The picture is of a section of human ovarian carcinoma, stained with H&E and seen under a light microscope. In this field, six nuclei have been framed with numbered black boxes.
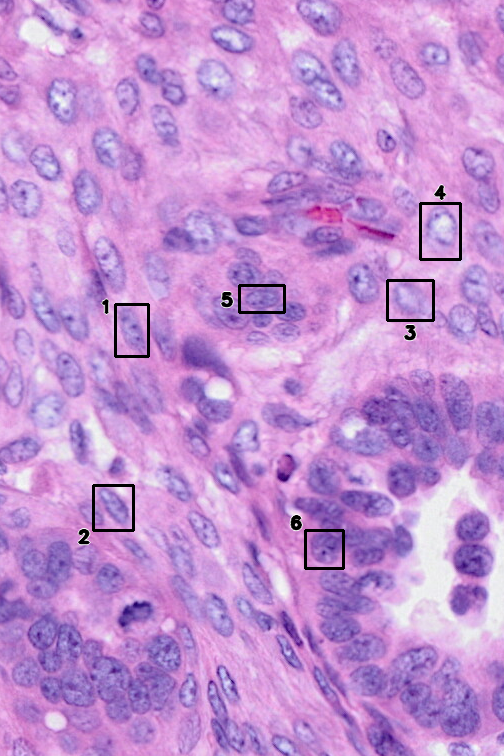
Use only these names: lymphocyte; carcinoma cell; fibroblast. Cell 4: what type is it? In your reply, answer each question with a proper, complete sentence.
Recognised here as a fibroblast is the cell numbered 4.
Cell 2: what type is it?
Regarding cell 2, this one is a fibroblast.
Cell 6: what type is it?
The cell marked with the number 6 is a carcinoma cell.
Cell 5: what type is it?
In the tissue shown, cell 5 is a carcinoma cell.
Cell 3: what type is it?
The cell tagged with 3 in this tissue section is a fibroblast.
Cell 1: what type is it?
The one labeled 1 is a fibroblast, to put it simply.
